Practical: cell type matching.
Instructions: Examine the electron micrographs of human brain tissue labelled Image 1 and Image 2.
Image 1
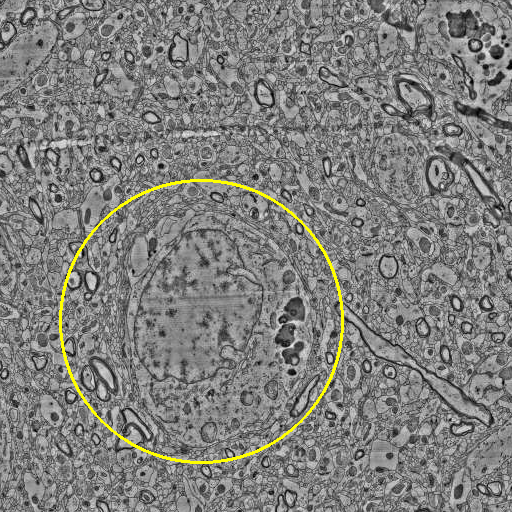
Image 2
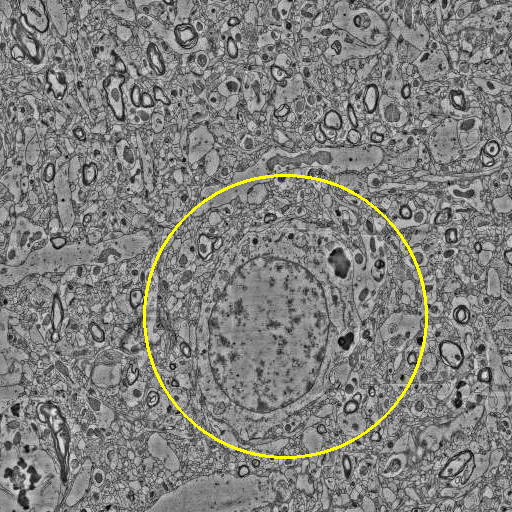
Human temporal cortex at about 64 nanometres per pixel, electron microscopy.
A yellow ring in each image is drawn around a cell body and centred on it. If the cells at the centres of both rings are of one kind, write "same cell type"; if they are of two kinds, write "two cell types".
same cell type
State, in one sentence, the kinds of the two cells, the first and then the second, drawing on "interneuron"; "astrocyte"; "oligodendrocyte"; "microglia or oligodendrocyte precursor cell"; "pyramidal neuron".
In each picture the ringed cell is a pyramidal neuron.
